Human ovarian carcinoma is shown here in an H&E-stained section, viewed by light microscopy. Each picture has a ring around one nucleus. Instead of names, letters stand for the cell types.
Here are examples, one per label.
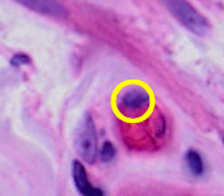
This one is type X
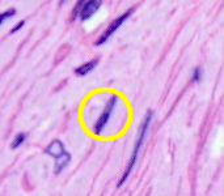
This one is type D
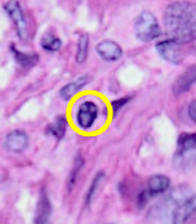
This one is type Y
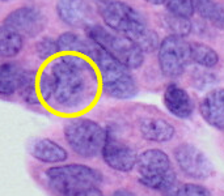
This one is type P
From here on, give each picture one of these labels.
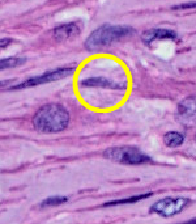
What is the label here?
type D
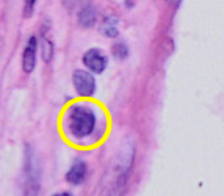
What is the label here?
type Y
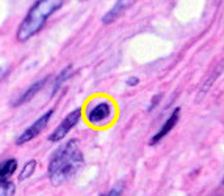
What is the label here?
type Y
